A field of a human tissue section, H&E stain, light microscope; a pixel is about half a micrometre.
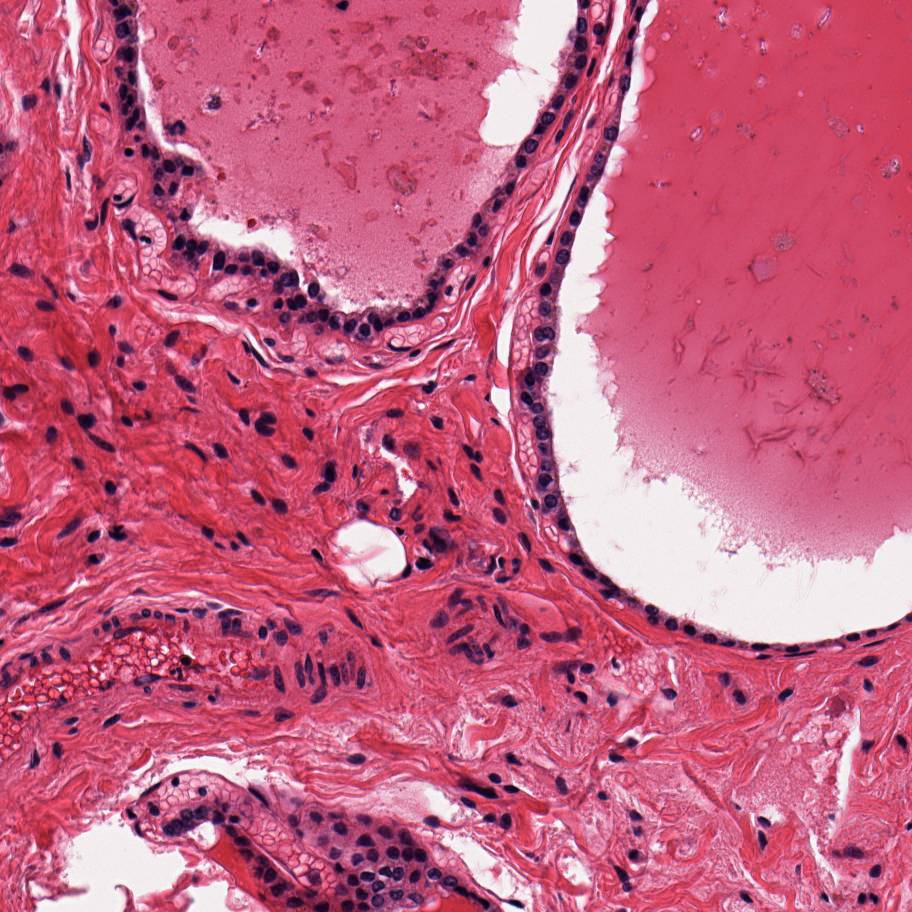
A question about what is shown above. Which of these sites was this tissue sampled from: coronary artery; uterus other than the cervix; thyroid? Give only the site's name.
thyroid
